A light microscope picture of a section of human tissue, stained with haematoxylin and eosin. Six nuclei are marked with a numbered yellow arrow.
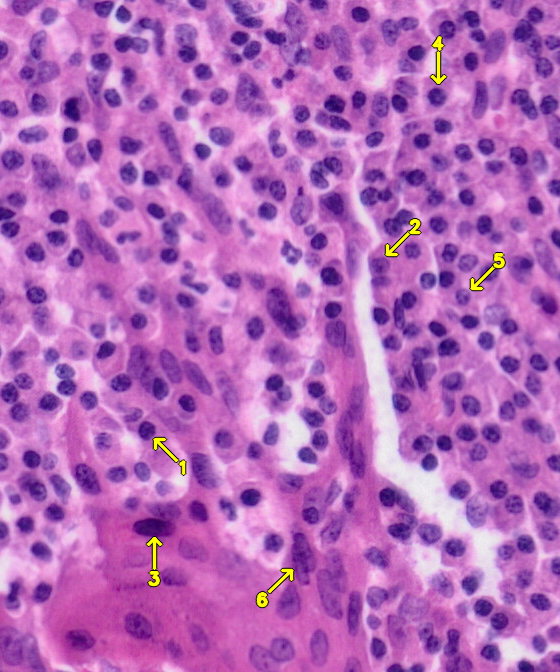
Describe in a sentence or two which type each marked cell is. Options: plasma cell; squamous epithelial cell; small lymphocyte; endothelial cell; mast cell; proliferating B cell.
Cell 1 is a plasma cell, cell 2 is a plasma cell, cell 3 is a squamous epithelial cell, cell 4 is a plasma cell, cell 5 is a plasma cell and cell 6 is a squamous epithelial cell.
